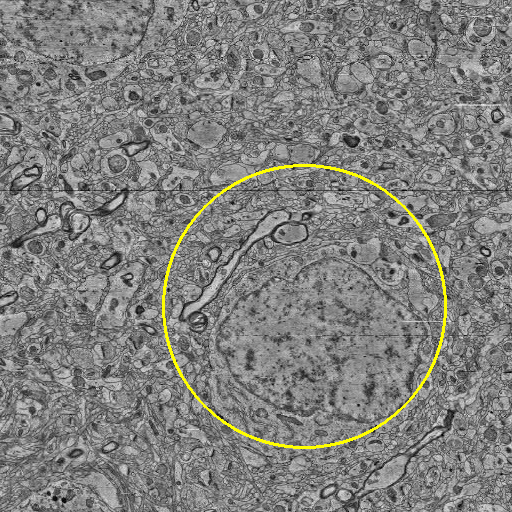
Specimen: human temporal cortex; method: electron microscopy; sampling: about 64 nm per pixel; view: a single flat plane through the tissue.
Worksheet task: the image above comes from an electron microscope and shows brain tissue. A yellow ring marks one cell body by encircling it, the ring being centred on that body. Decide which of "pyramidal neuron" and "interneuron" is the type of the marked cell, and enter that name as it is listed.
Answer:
interneuron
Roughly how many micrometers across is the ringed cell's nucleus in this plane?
About 13 by 11 micrometers for the nucleus, in this plane.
